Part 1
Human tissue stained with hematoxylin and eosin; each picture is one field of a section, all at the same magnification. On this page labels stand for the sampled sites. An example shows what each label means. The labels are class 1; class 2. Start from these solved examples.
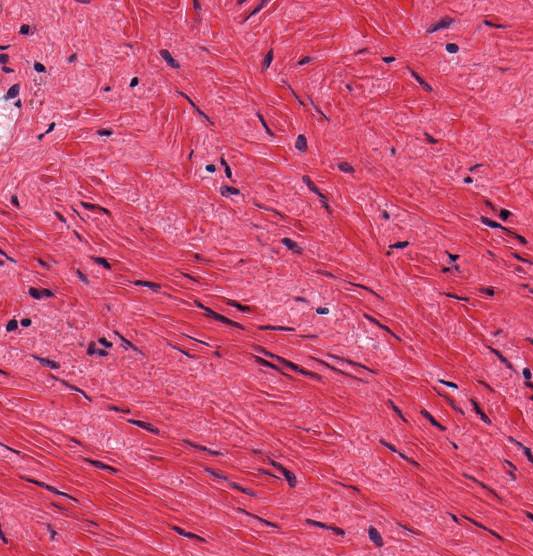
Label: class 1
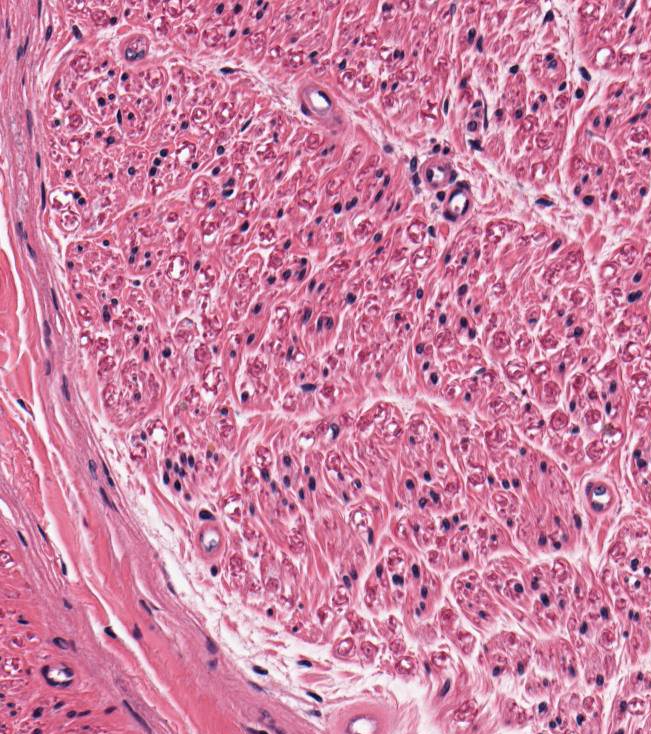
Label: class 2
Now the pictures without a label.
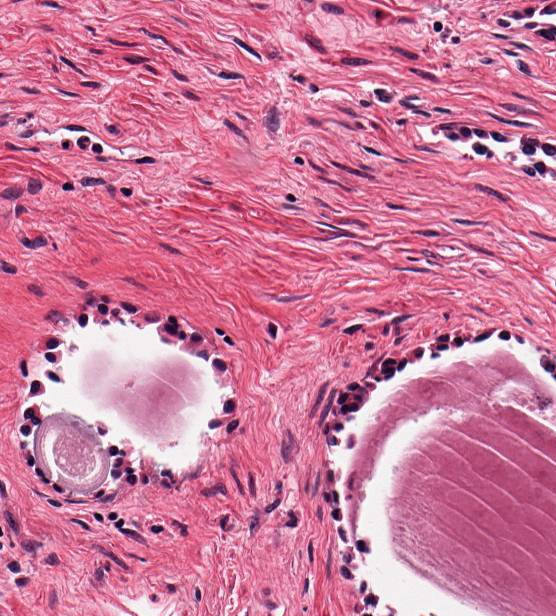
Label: class 1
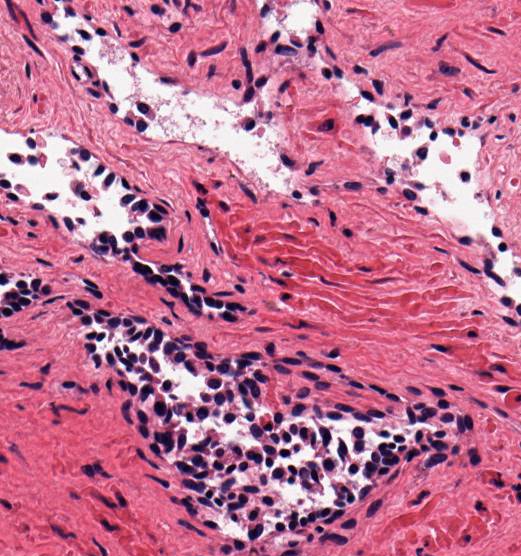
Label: class 1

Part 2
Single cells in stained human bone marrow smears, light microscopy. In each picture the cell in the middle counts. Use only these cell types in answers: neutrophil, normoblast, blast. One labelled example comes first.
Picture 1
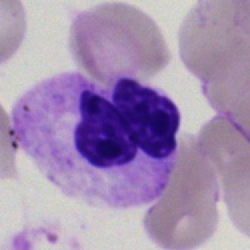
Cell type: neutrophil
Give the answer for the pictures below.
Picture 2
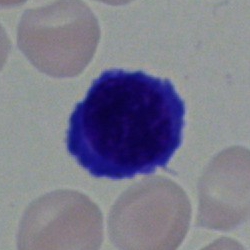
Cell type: normoblast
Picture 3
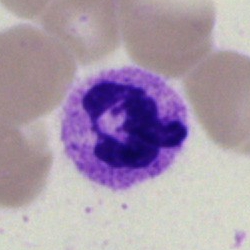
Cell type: neutrophil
